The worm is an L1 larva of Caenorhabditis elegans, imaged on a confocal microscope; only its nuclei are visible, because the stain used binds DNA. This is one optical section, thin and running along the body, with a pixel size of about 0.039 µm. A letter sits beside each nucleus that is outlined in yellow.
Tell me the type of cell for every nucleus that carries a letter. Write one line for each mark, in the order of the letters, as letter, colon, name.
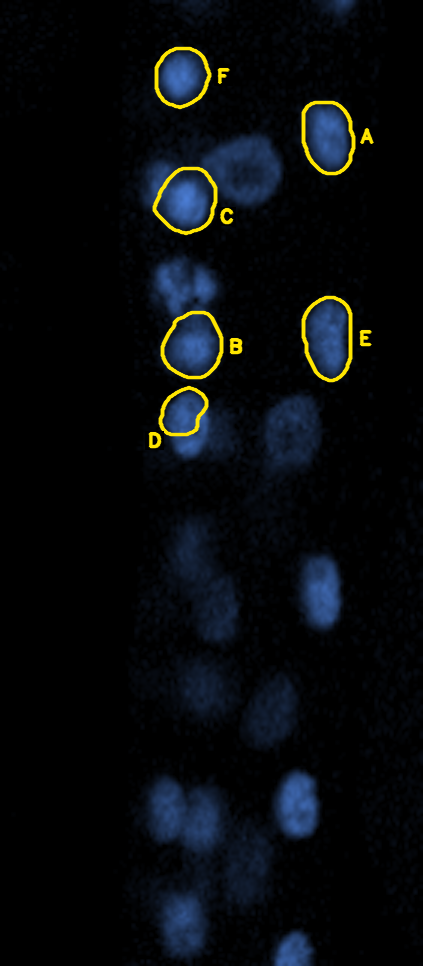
A: body wall muscle cell
B: neuron
C: coelomocyte
D: body wall muscle cell
E: body wall muscle cell
F: coelomocyte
